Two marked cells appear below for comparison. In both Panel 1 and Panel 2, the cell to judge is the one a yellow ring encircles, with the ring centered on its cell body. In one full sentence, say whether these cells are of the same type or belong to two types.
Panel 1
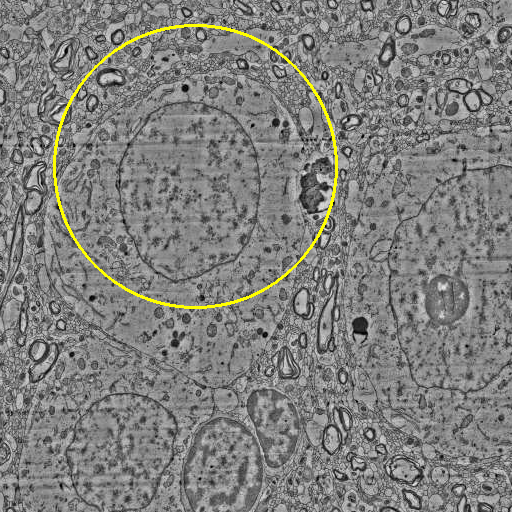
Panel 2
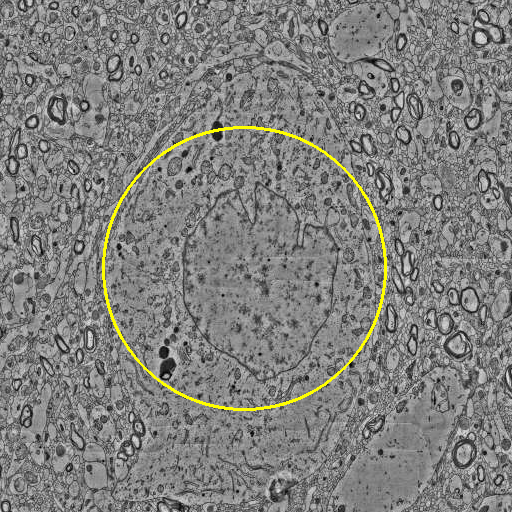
The cell centered in the Panel 1 ring and the one in Panel 2 are of the same type.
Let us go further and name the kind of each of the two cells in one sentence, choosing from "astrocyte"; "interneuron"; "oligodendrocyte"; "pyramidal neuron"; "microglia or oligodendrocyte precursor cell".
The cell at the ring centre is a pyramidal neuron in both pictures.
